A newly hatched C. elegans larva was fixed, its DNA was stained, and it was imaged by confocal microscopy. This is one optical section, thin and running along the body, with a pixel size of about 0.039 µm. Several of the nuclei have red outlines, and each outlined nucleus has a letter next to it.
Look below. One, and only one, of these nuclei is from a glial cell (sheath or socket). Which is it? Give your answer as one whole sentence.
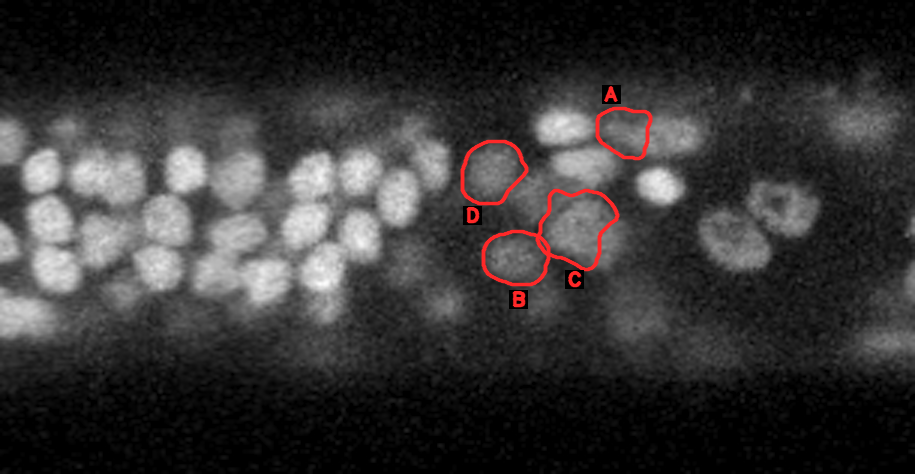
Nucleus C belongs to a glial cell (sheath or socket).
